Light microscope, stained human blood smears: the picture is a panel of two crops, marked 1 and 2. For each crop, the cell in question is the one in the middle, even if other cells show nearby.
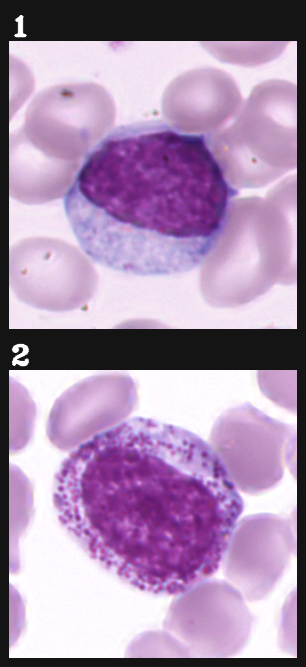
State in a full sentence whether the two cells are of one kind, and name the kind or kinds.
Yes, it is myelocytes that both crops show.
